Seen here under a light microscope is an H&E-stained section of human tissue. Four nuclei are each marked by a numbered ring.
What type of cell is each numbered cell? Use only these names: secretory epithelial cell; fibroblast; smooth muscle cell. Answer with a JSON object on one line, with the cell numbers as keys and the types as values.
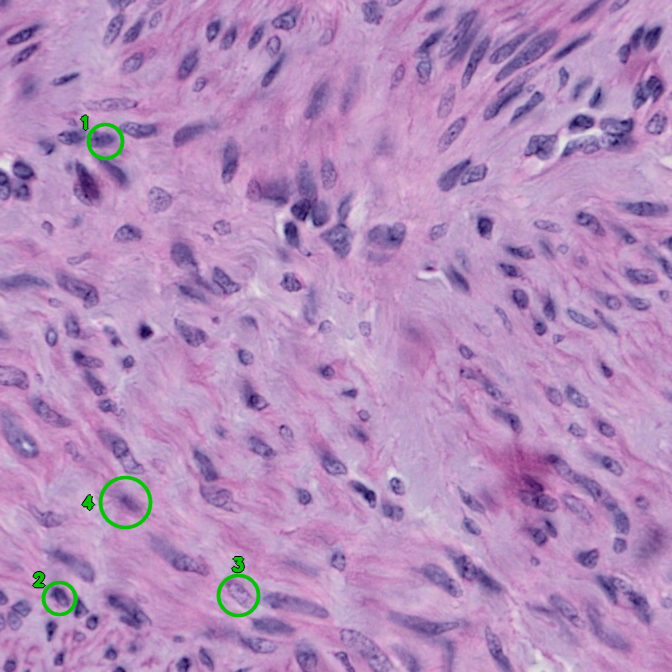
{"1": "fibroblast", "2": "smooth muscle cell", "3": "smooth muscle cell", "4": "smooth muscle cell"}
